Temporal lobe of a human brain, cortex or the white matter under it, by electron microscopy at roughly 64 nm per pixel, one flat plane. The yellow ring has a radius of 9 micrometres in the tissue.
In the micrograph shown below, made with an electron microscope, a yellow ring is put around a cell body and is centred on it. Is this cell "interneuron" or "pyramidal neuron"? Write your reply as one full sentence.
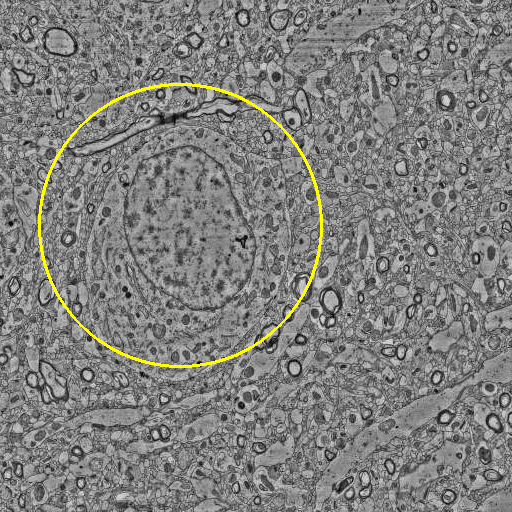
In the micrograph, an interneuron is the cell at the centre of the yellow ring.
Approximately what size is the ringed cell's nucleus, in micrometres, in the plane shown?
In this plane, the nucleus of the cell at the centre of the ring measures about 11 by 8 micrometres.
